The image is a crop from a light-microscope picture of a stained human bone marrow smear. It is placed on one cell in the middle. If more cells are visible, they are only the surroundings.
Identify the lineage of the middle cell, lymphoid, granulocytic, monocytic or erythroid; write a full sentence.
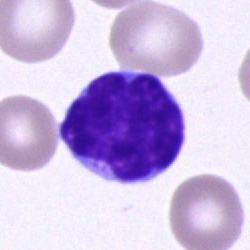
The cell at the very center of the crop belongs to the lymphoid lineage.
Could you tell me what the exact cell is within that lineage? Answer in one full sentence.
Present in the middle of the crop is a lymphocyte.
